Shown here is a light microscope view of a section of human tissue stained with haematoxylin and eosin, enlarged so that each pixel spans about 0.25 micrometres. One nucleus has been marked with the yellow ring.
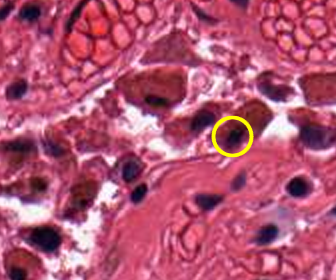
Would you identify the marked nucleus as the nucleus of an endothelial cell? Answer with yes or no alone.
no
